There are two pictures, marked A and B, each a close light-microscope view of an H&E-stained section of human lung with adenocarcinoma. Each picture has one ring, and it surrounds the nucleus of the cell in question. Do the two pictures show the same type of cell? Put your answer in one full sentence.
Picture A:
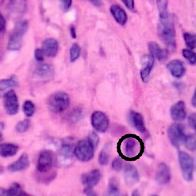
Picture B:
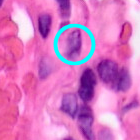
No. Picture A shows a plasma cell, but picture B shows a fibroblast.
